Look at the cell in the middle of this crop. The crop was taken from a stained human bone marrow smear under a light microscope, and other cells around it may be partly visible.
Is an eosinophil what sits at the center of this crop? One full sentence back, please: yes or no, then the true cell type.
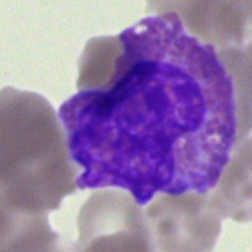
Yes, the cell at the middle is an eosinophil.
